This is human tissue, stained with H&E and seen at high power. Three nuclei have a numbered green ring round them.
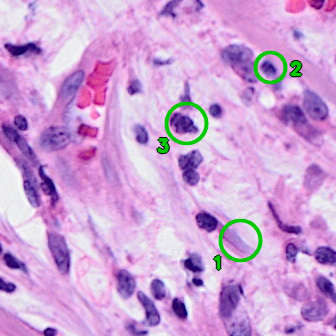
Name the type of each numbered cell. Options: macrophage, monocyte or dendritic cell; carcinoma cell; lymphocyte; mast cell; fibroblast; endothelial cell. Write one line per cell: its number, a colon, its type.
1: fibroblast
2: lymphocyte
3: lymphocyte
